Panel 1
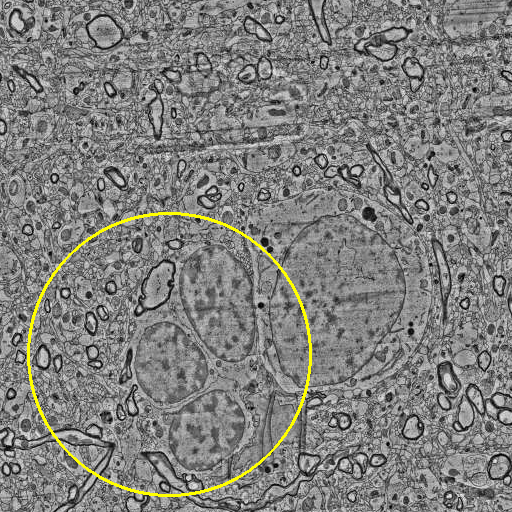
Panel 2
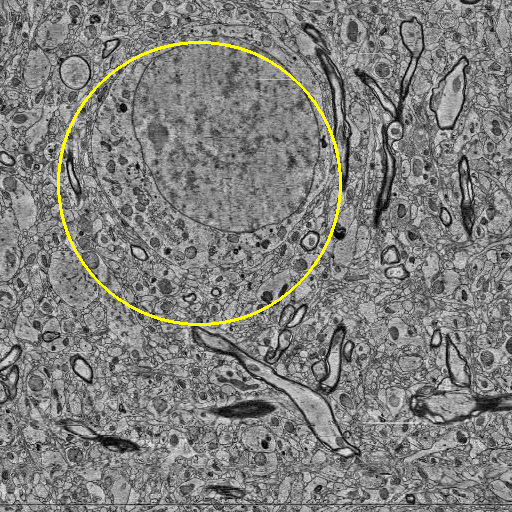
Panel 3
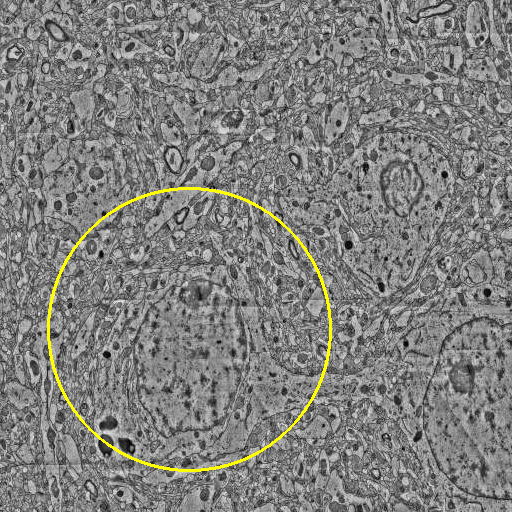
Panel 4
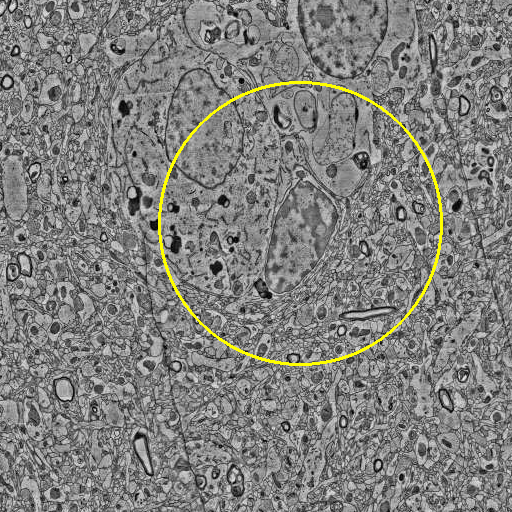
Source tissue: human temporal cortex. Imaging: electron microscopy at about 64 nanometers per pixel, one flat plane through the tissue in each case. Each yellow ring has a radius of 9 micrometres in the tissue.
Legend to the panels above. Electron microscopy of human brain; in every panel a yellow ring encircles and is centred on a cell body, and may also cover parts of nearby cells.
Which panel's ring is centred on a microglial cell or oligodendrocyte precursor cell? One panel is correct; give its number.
4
